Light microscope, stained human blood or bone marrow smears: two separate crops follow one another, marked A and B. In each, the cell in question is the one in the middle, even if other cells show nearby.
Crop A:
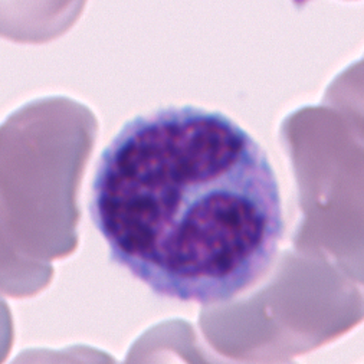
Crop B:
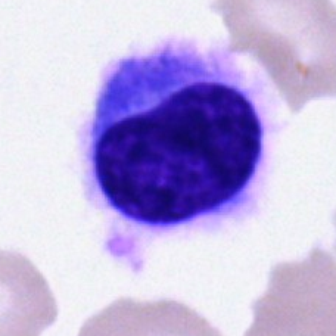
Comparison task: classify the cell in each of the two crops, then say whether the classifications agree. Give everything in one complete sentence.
No, crop A is the one with a monocyte; crop B has a hairy cell.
